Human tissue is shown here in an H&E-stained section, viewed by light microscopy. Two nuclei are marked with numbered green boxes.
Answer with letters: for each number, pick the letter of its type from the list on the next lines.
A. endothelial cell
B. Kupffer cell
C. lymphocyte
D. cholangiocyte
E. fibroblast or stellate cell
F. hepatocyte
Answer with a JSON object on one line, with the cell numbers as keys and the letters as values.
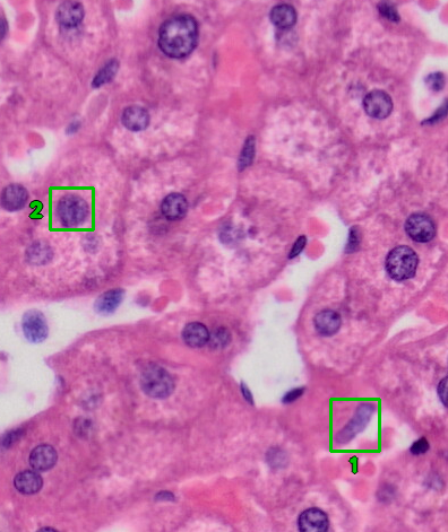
{"1": "B", "2": "F"}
